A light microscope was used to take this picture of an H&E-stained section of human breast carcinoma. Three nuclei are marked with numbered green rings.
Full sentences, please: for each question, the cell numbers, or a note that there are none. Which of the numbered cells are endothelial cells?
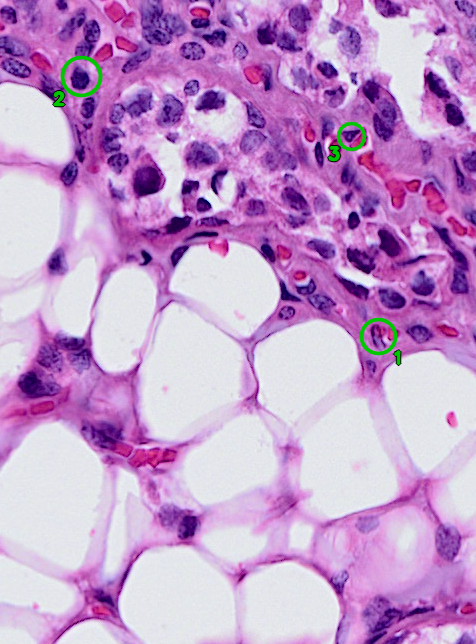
The cells to which the numbers 1 and 3 refer are endothelial cells.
